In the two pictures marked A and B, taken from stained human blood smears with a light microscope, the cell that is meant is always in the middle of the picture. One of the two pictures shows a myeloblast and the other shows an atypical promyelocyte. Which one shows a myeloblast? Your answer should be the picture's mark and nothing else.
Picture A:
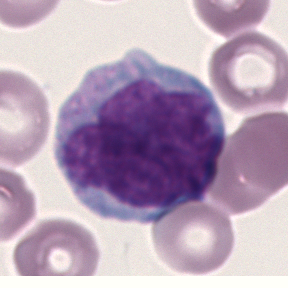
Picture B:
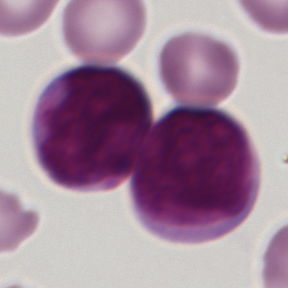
B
